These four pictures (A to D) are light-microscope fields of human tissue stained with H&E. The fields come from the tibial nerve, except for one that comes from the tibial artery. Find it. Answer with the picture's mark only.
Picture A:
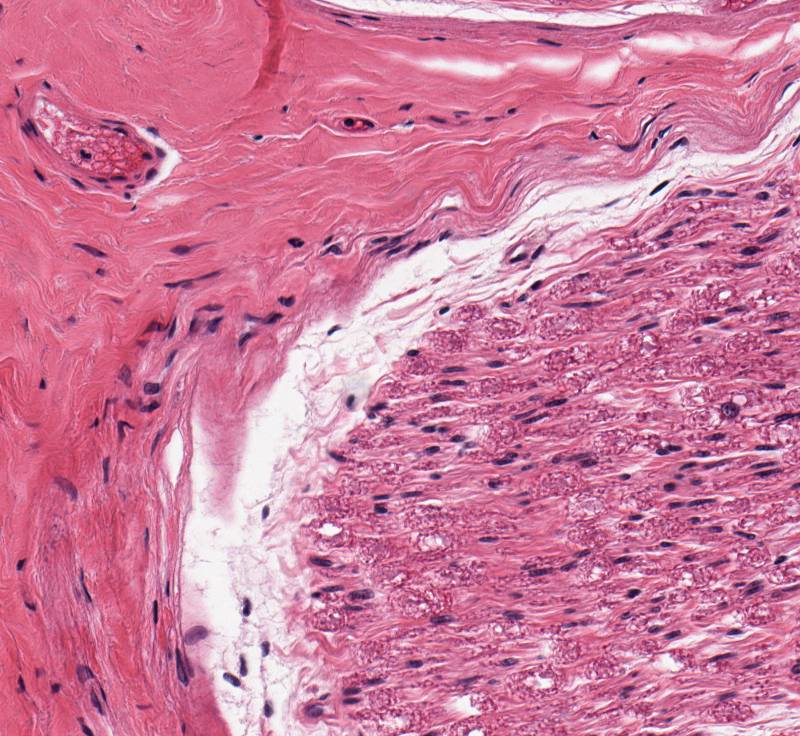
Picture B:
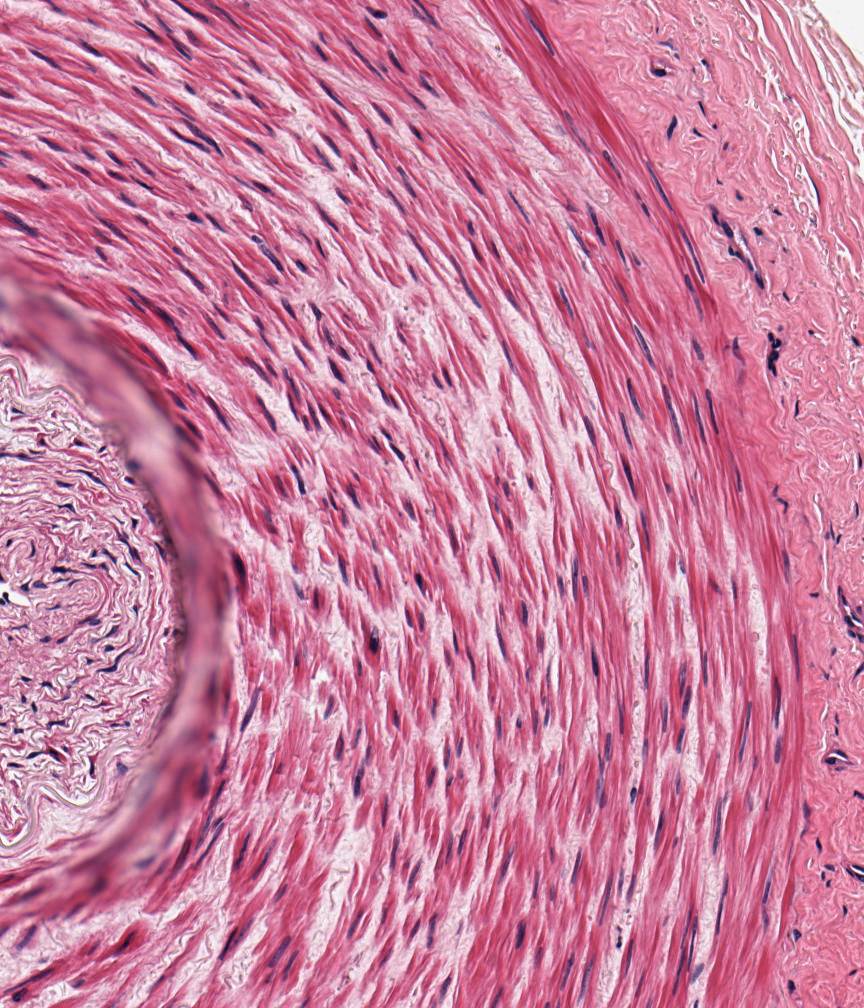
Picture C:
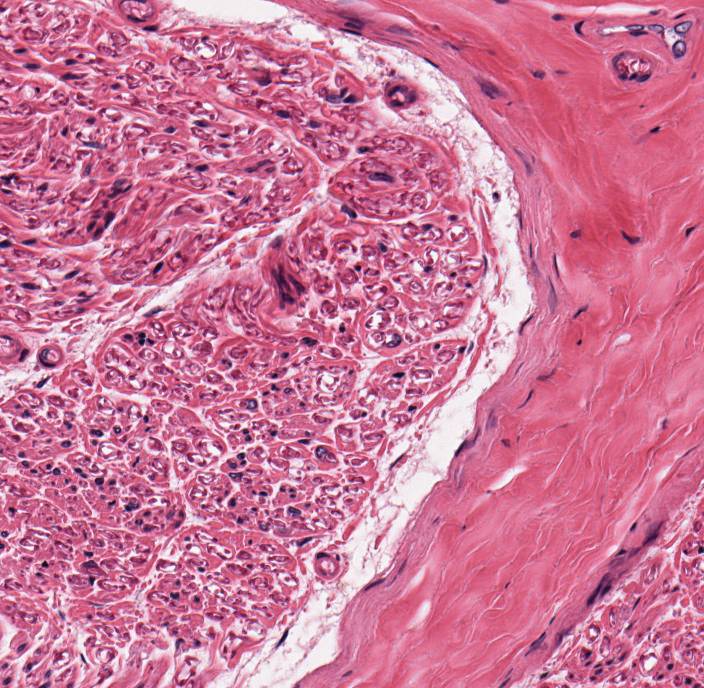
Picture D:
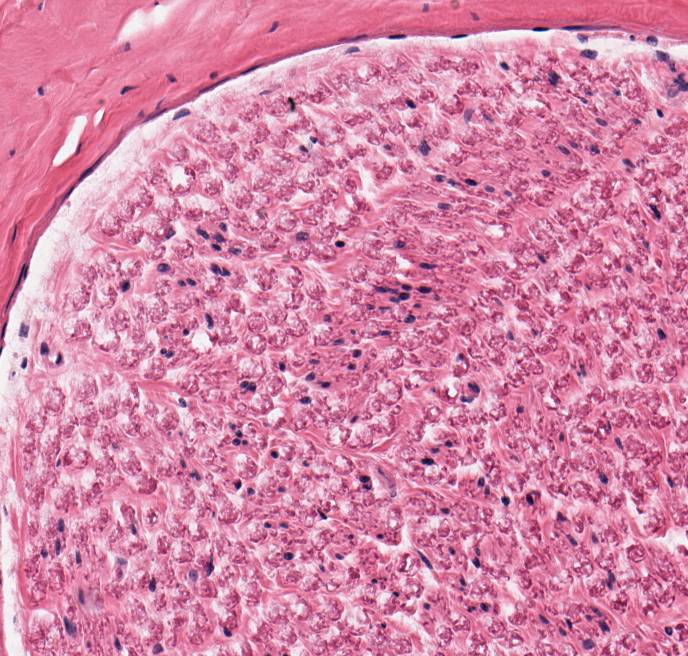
B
